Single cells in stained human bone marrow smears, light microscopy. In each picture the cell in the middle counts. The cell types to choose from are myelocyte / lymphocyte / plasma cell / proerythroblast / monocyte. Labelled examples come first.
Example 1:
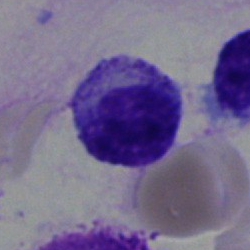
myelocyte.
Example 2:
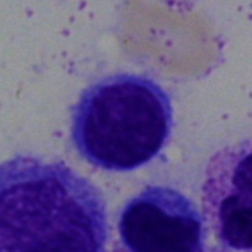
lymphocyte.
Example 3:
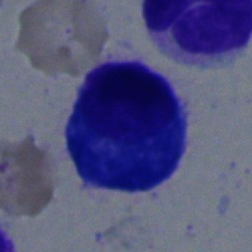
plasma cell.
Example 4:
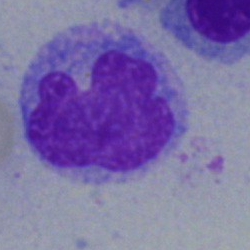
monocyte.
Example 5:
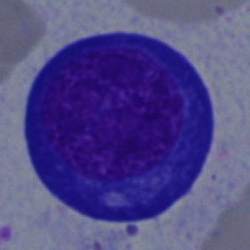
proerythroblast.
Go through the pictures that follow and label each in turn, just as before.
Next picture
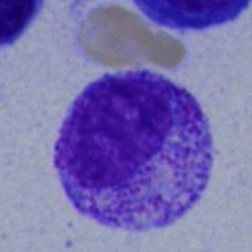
myelocyte.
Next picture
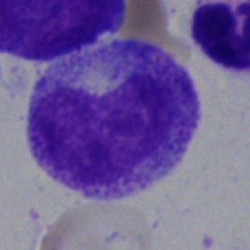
myelocyte.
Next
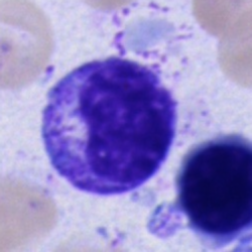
myelocyte.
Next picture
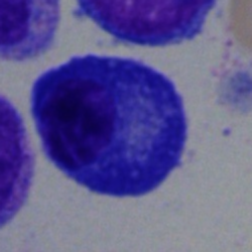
plasma cell.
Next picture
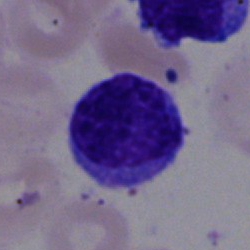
lymphocyte.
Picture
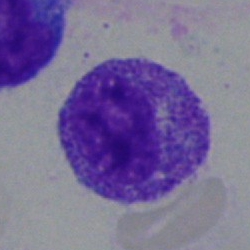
myelocyte.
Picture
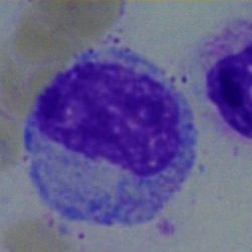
myelocyte.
